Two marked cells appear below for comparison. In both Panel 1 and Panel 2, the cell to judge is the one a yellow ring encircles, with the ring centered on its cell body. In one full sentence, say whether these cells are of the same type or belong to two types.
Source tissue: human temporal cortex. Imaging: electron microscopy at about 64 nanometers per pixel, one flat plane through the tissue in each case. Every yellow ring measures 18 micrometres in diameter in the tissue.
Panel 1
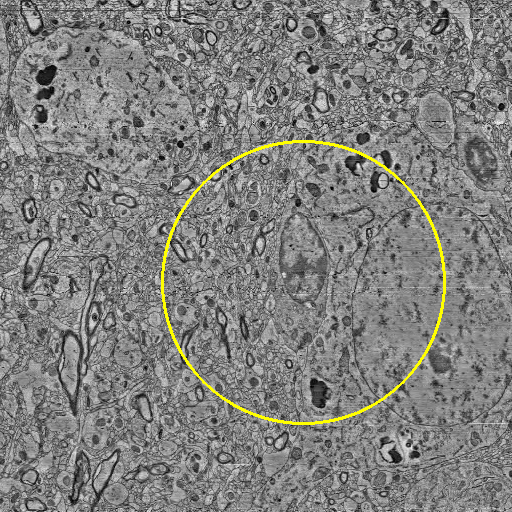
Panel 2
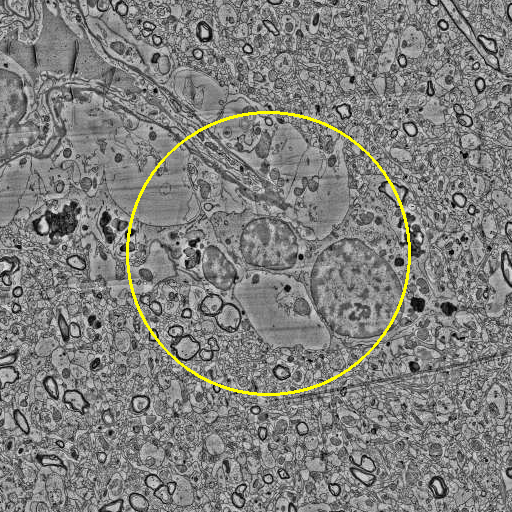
The cell centered in the Panel 1 ring and the one in Panel 2 are of the same type.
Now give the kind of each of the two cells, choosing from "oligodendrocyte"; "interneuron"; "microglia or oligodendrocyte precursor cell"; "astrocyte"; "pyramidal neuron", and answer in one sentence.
The ring centre holds an oligodendrocyte in each of the two pictures.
